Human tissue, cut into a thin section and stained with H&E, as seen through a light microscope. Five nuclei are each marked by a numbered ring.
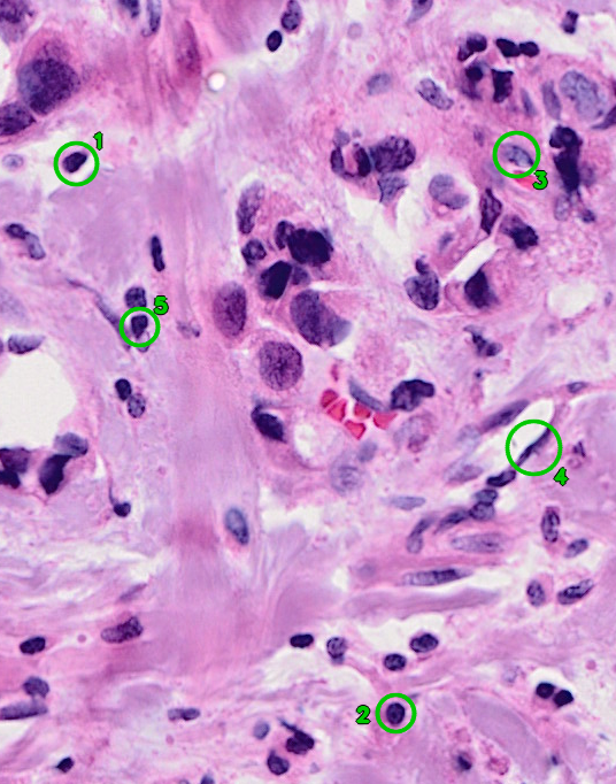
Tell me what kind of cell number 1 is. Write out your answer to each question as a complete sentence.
Number 1 among the marked cells is a lymphocyte.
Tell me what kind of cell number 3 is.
Denoted by the label 3 in the section is an endothelial cell.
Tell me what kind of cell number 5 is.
Here, the cell given the number 5 is a lymphocyte.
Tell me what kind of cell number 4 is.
The correct answer for cell 4 is a fibroblast.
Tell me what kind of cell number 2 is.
Nucleus 2 in this section belongs to a lymphocyte.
